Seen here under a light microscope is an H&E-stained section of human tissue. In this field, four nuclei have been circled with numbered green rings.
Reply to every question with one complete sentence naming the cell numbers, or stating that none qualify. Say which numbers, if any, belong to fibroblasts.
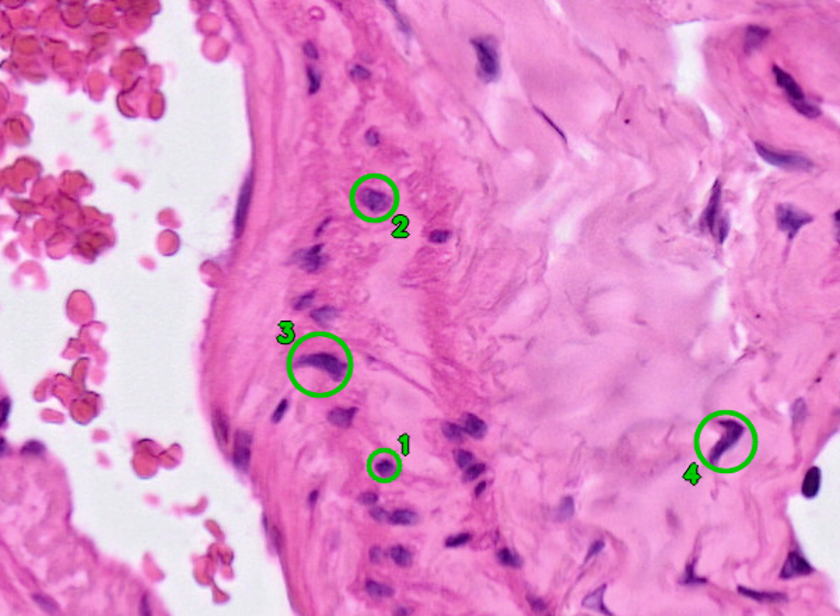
Only nucleus 4 belongs to a fibroblast; the other numbered nuclei do not.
